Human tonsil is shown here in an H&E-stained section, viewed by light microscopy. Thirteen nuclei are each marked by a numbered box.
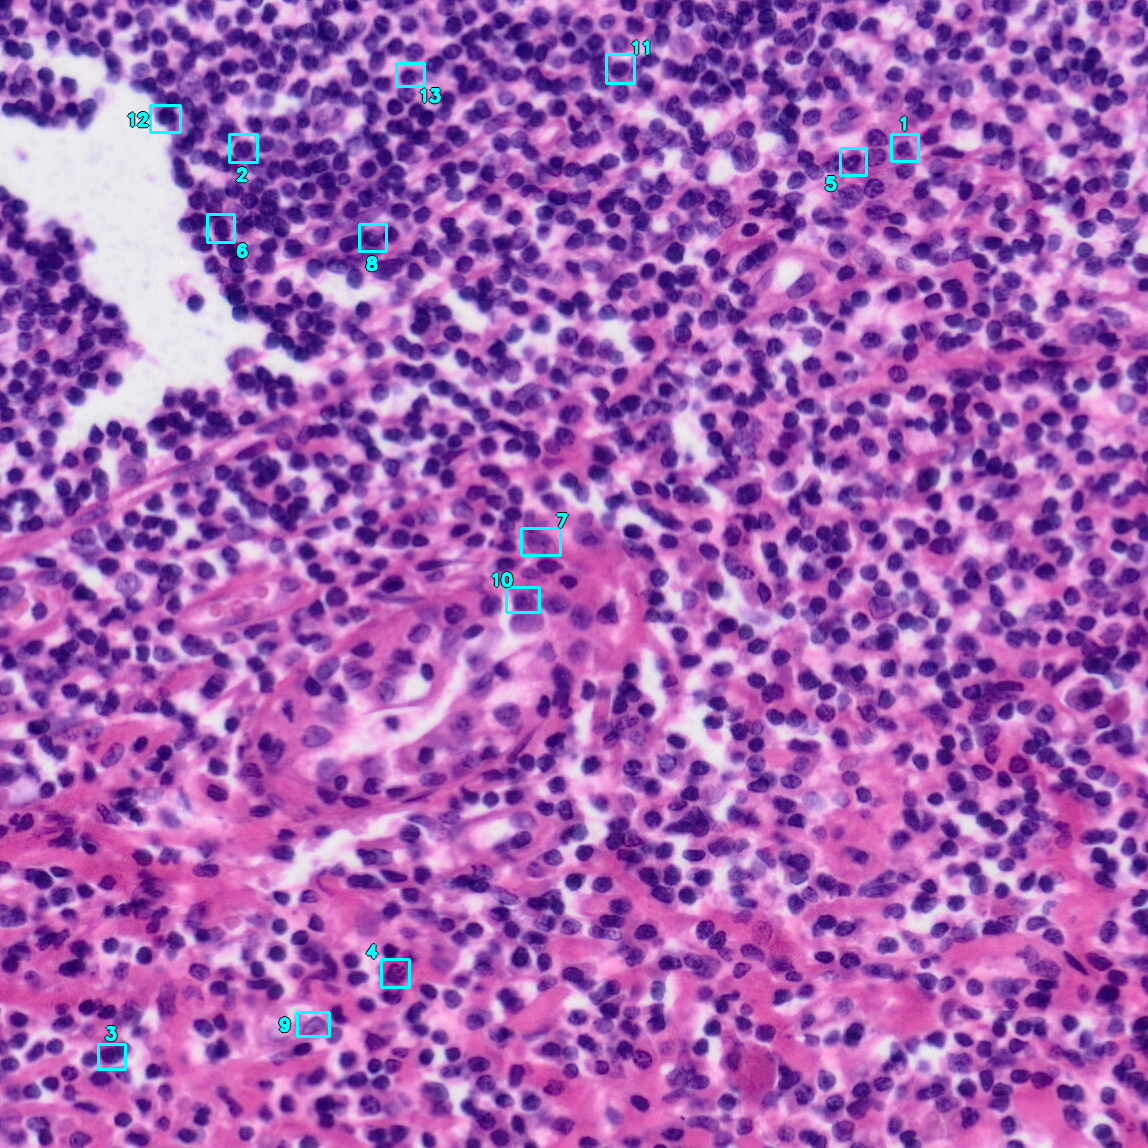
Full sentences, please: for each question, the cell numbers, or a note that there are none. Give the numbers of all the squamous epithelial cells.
Only cell 10 should be marked as a squamous epithelial cell.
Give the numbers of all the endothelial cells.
The cells marked 7 and 9 in the section are endothelial cells.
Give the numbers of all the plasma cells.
The cells with numbers 1, 3, 4 and 5 are plasma cells by type.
